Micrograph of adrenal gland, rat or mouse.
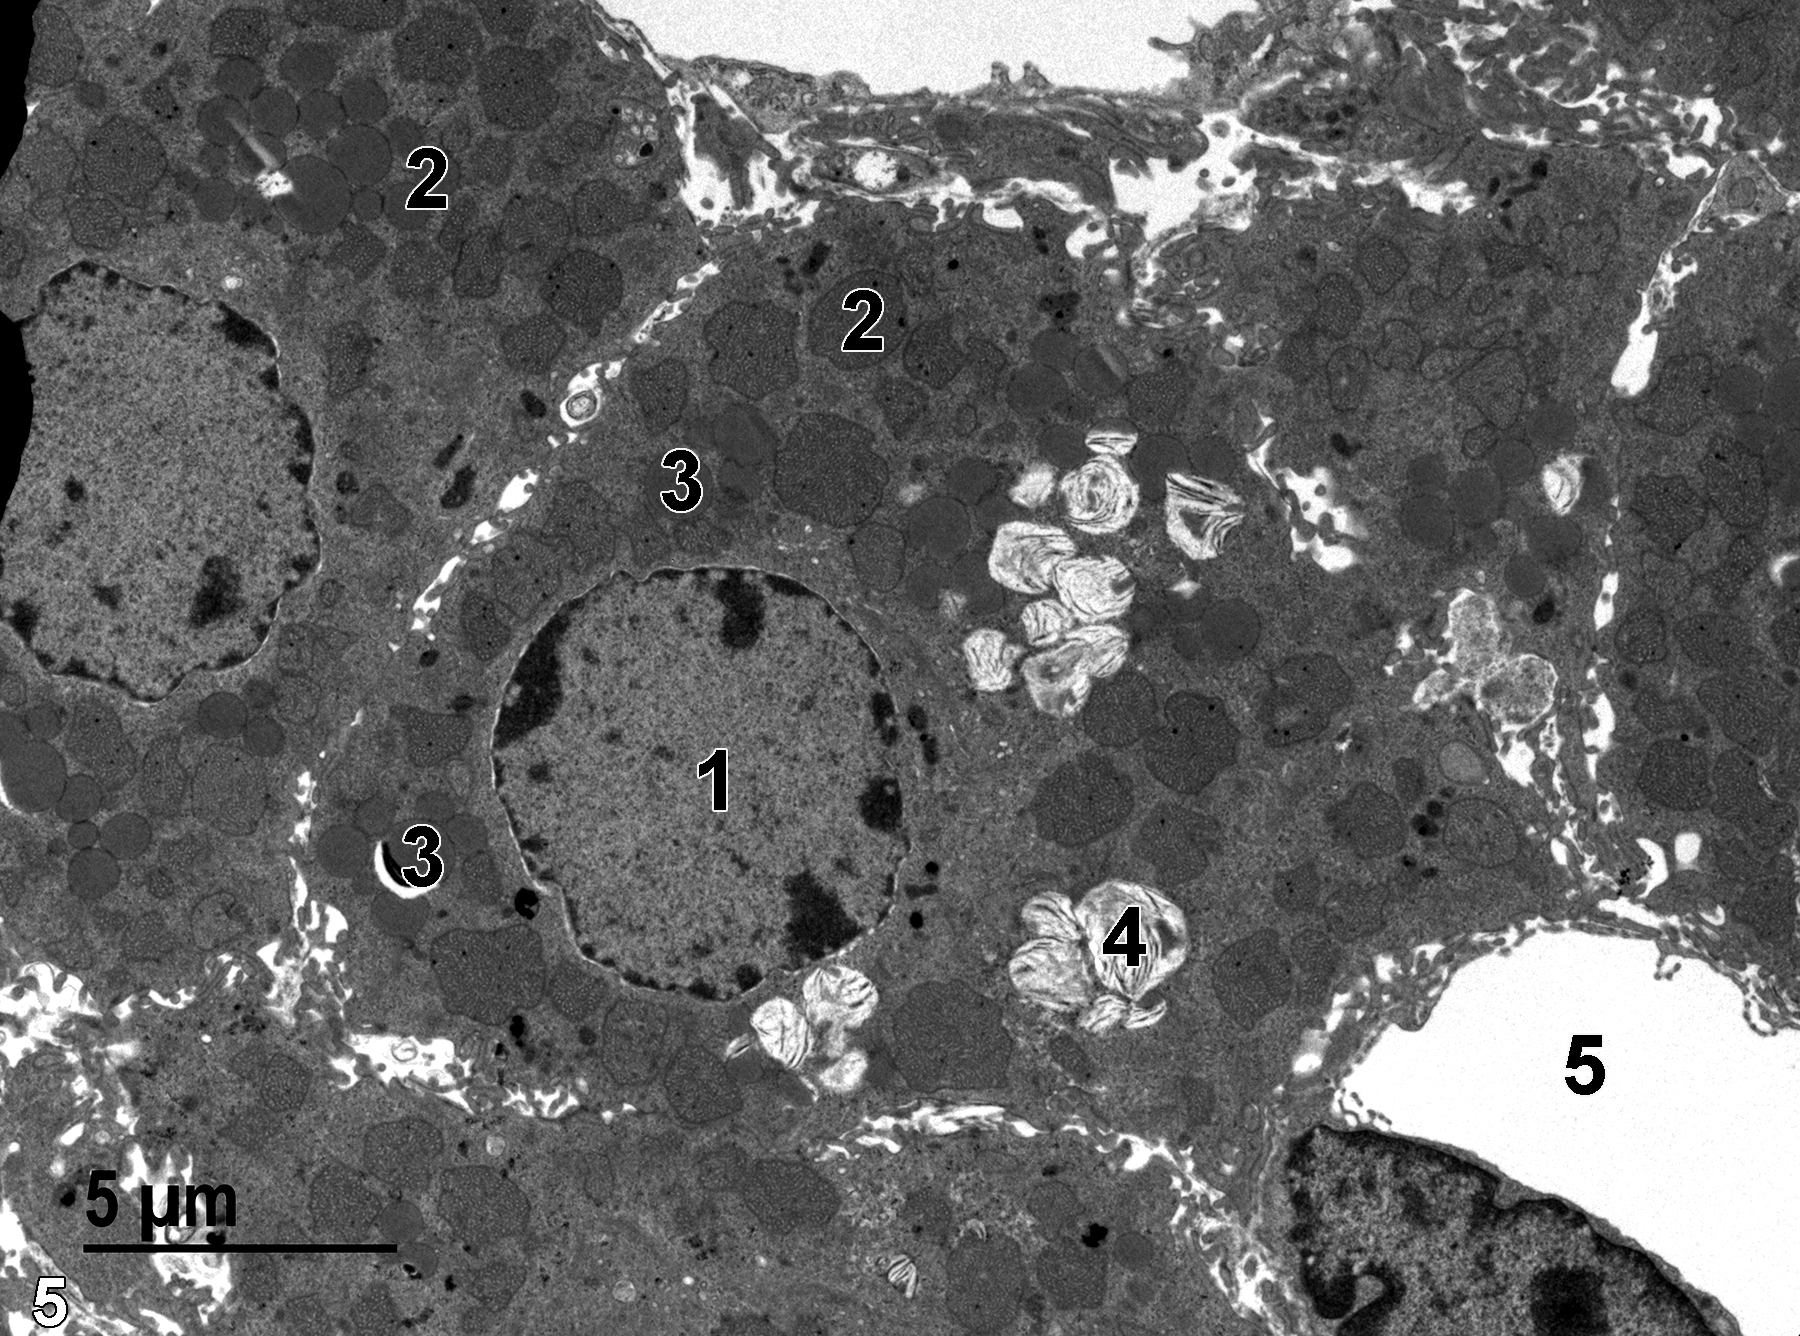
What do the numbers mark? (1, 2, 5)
(1) single nuclei
(2) mitochondria
(5) capillary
